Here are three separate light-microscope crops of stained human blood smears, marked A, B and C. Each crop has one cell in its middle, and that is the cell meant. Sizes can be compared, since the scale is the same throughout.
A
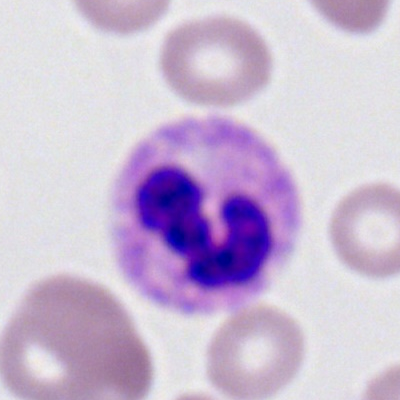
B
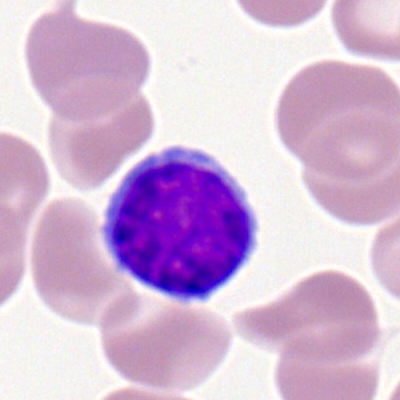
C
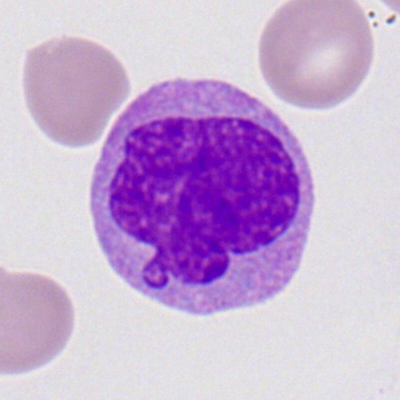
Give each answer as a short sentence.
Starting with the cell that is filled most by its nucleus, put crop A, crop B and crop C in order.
From the most filled to the least, the order is B, C, A.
